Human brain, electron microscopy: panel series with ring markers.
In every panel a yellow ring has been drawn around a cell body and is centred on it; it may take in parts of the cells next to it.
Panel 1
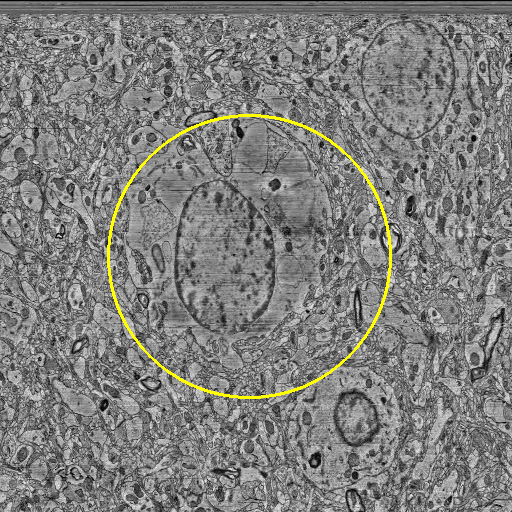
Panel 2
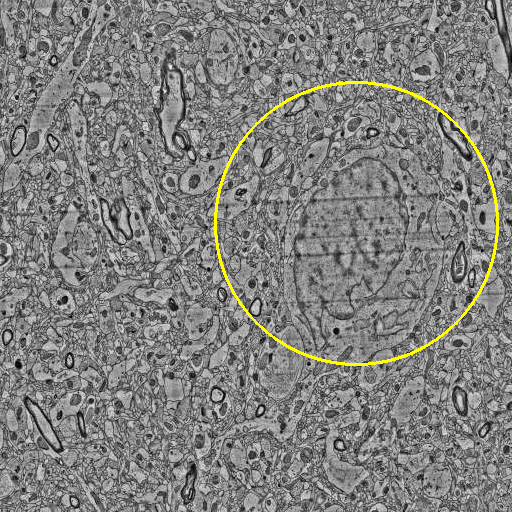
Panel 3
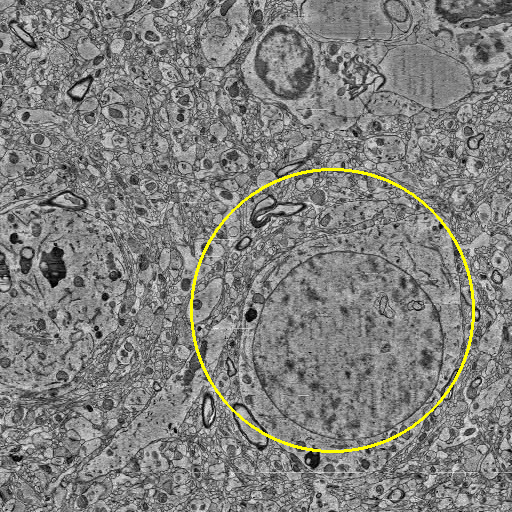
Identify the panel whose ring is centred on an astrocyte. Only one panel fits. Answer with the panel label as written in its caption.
Panel 1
